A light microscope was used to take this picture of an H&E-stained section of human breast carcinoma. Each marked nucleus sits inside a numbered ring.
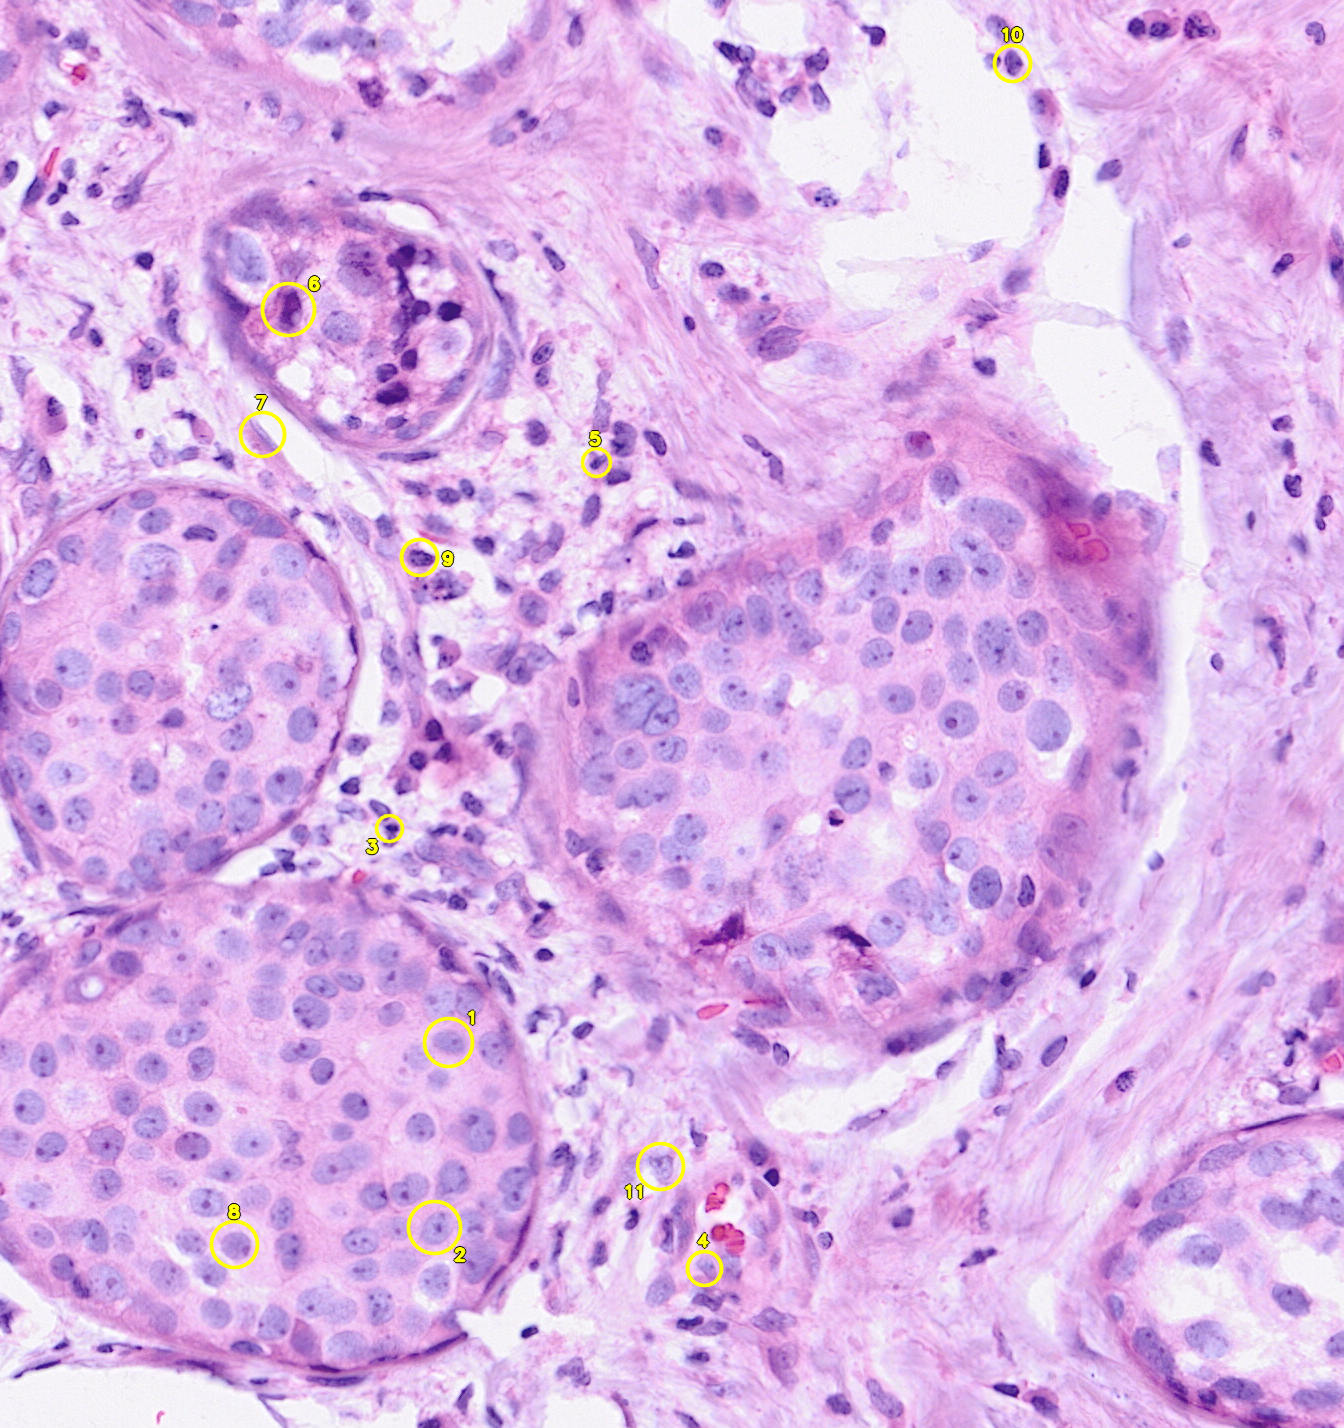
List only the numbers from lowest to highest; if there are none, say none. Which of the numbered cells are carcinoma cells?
1, 2, 6, 8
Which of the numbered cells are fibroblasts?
11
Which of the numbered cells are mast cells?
9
